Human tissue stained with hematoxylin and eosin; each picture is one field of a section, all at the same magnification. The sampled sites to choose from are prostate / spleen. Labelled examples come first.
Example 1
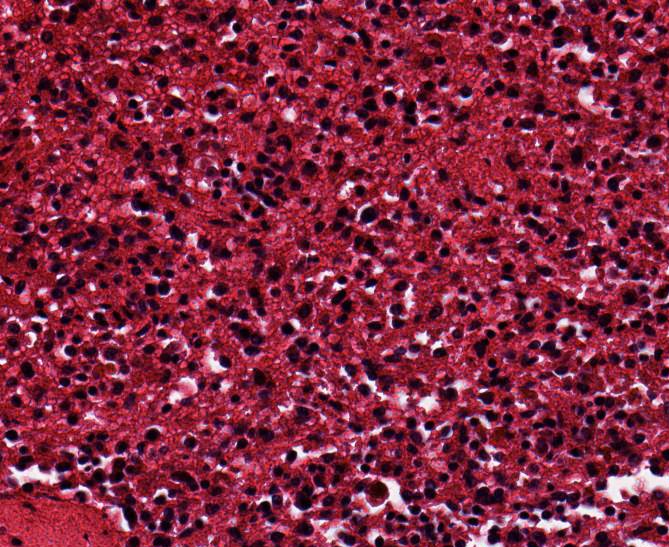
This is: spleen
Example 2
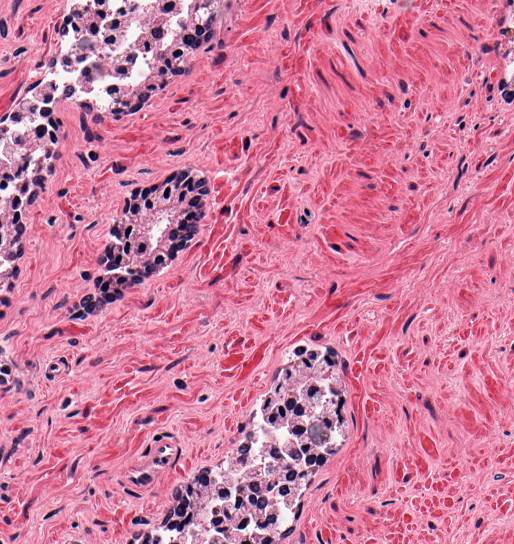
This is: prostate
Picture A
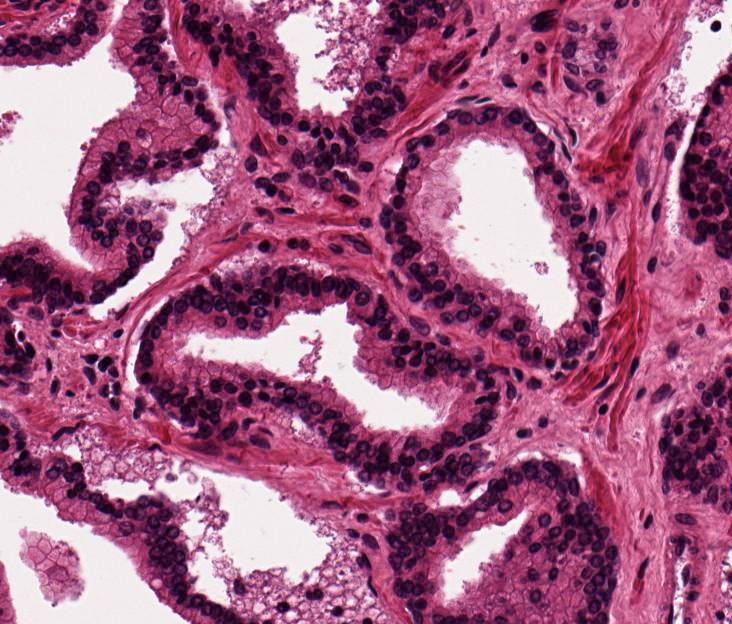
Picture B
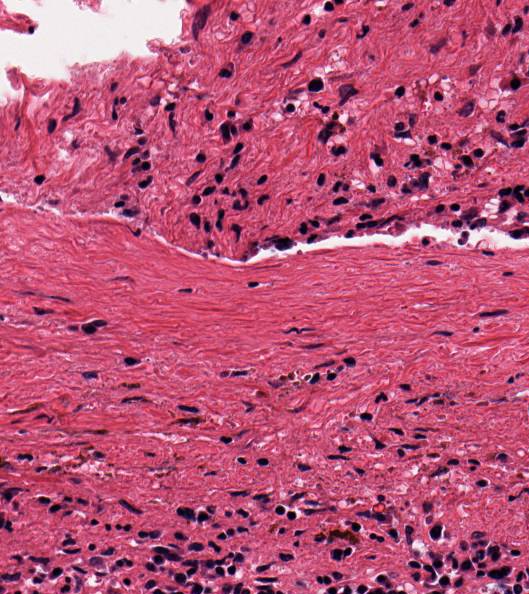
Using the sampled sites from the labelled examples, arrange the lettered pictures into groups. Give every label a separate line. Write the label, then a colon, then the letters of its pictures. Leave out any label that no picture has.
prostate: A
spleen: B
